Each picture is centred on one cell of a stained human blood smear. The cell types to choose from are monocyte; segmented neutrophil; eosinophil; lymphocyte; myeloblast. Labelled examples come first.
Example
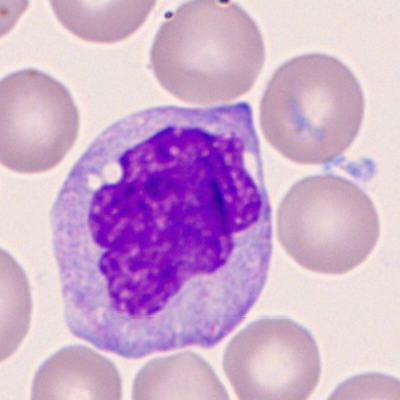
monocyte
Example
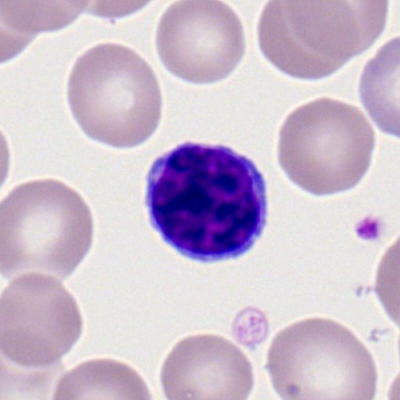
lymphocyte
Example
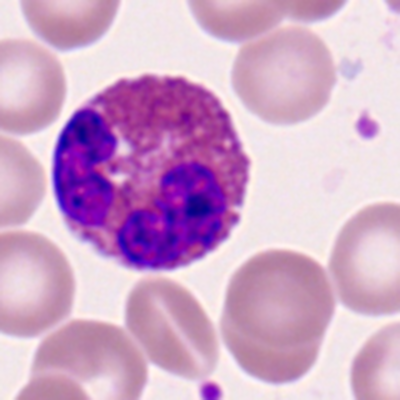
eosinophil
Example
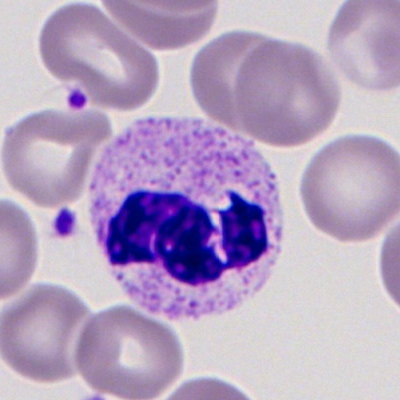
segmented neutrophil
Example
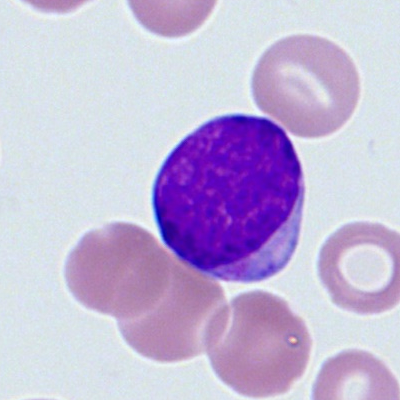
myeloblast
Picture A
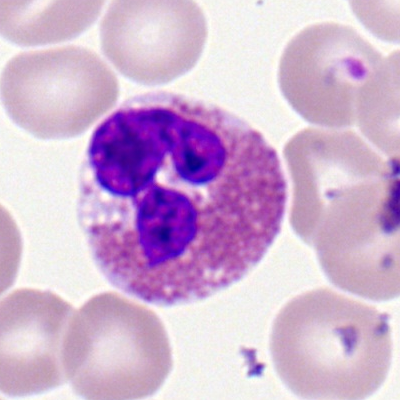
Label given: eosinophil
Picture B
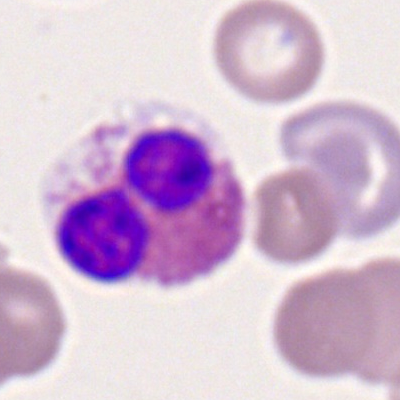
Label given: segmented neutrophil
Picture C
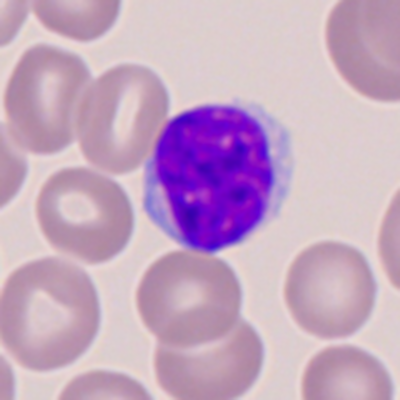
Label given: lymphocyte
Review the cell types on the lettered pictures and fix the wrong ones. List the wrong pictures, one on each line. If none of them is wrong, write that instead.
B: not segmented neutrophil but eosinophil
